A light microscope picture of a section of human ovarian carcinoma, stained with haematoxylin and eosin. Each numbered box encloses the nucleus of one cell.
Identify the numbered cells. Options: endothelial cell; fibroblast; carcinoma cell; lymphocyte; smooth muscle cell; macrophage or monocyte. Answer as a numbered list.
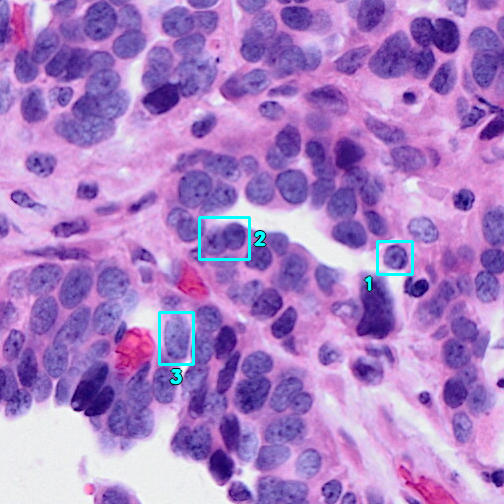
1. macrophage or monocyte
2. carcinoma cell
3. carcinoma cell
